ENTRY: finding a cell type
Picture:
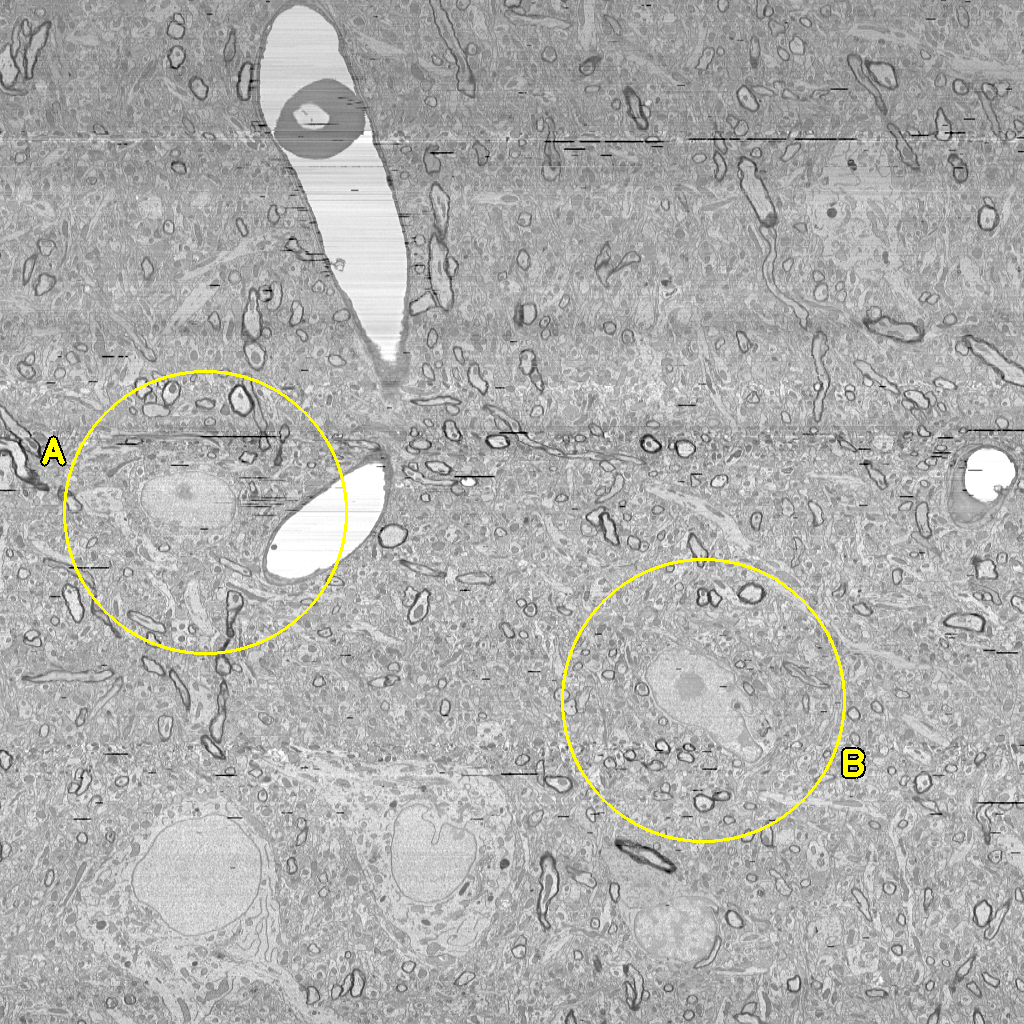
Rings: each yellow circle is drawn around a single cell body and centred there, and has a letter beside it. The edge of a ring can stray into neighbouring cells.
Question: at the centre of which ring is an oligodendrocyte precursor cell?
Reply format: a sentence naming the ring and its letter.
The answer is ring B, the one centred on the cell asked for.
